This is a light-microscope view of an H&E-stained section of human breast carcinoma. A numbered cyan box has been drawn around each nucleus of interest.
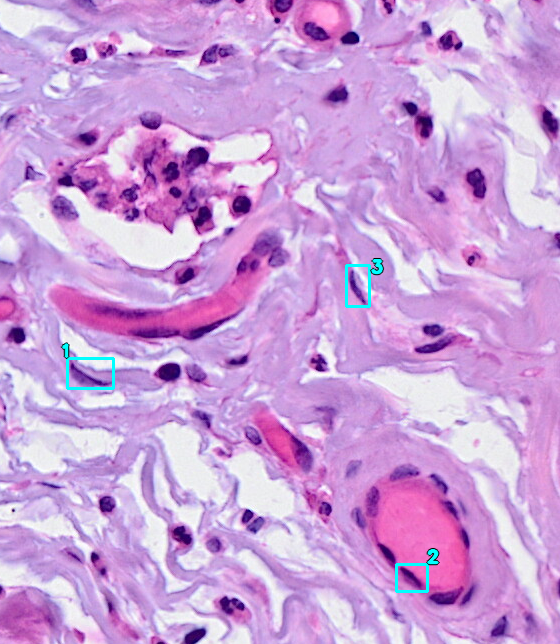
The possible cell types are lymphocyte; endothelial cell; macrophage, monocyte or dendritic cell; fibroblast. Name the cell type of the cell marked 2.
endothelial cell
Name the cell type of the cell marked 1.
fibroblast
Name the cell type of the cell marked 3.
fibroblast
